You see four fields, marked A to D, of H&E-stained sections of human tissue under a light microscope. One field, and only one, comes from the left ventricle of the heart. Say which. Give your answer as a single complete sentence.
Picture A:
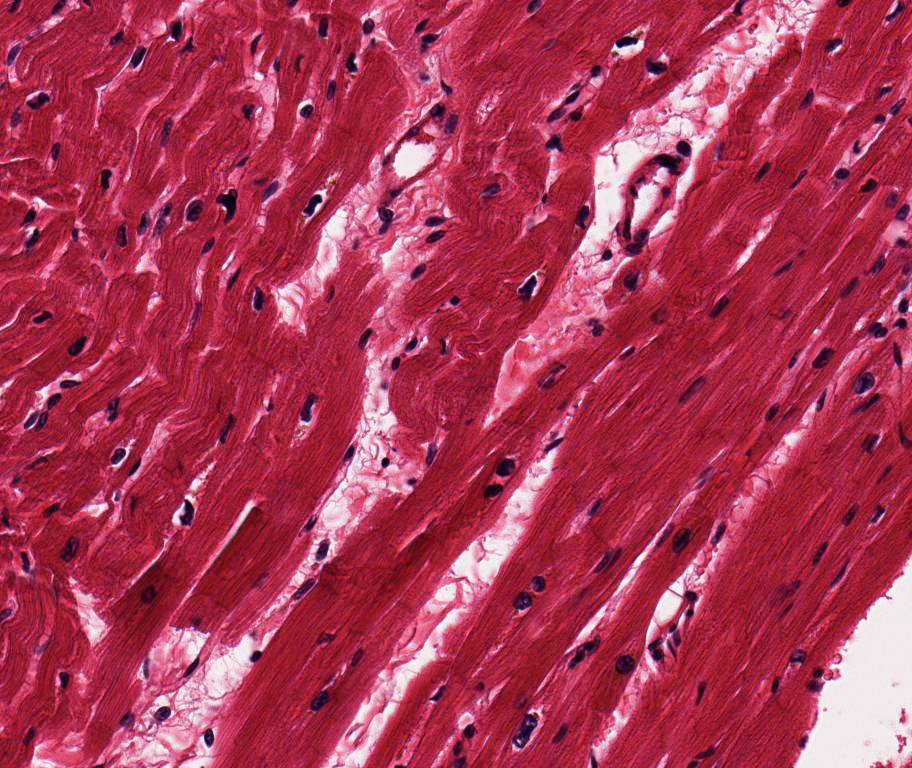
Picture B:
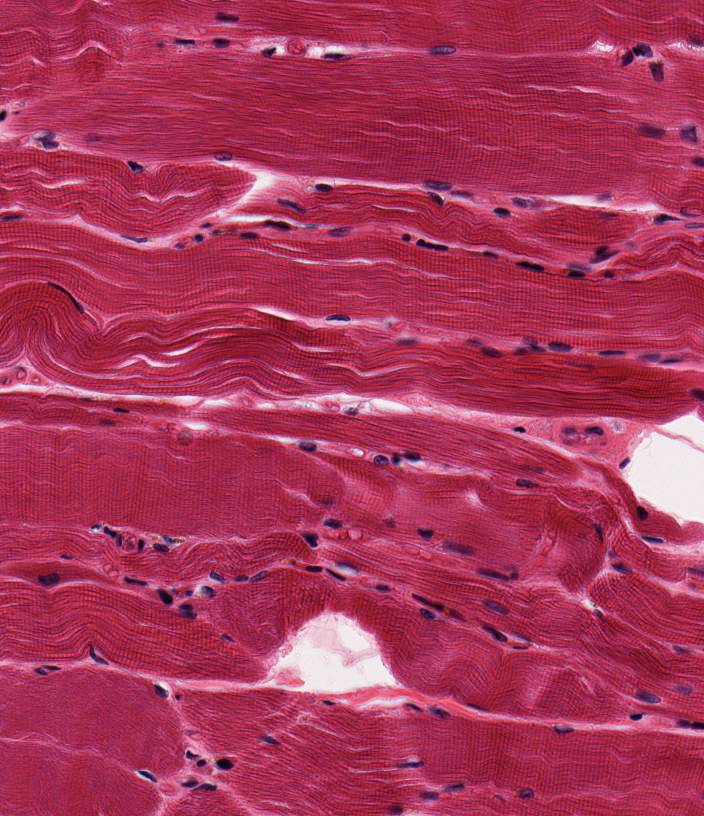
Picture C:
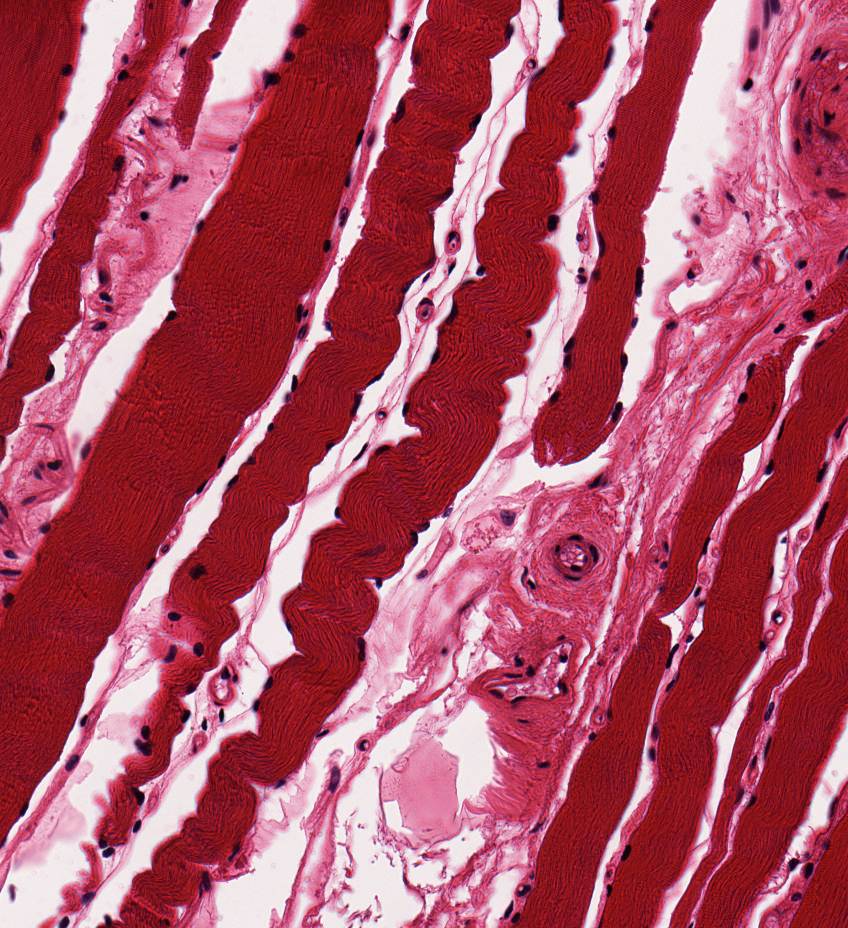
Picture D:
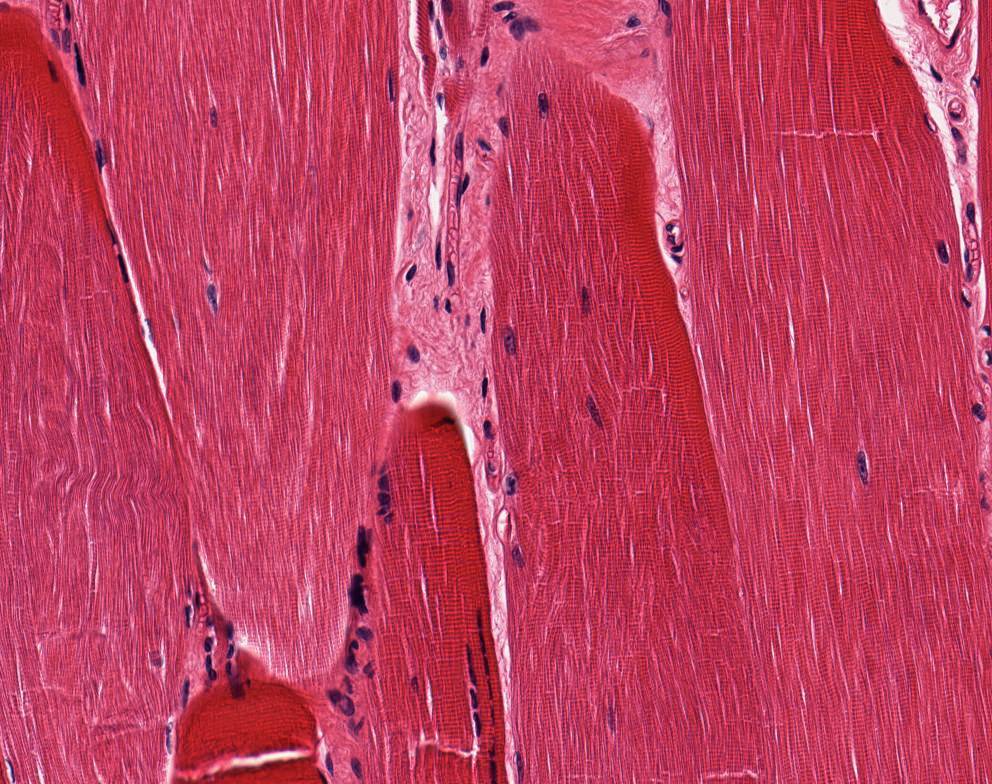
It is picture A that comes from the left ventricle of the heart.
